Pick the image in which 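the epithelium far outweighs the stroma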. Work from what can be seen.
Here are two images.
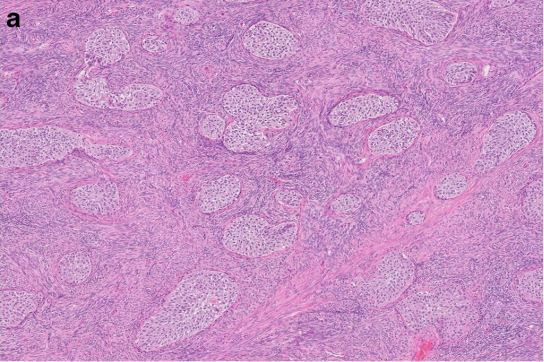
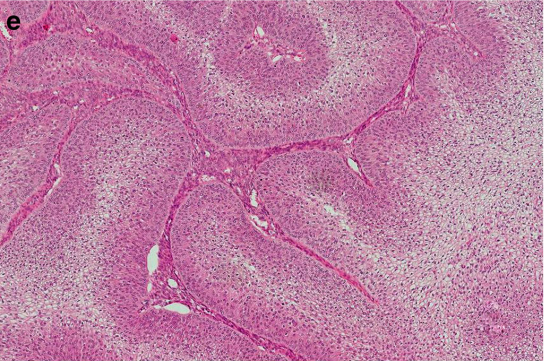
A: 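The second image. Second image: broad epithelial lobules fill the field, separated only by thin fibrovascular septa. First image: small separate nests lie in abundant cellular spindle-cell stroma.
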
